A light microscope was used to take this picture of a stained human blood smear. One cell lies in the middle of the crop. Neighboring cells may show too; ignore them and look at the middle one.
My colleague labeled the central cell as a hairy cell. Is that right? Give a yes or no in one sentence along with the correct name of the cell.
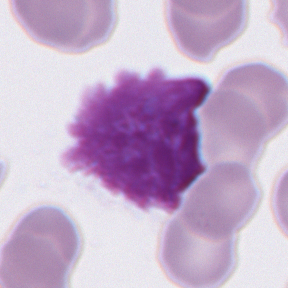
No, the central cell is not to be called a hairy cell, being a smudge cell.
